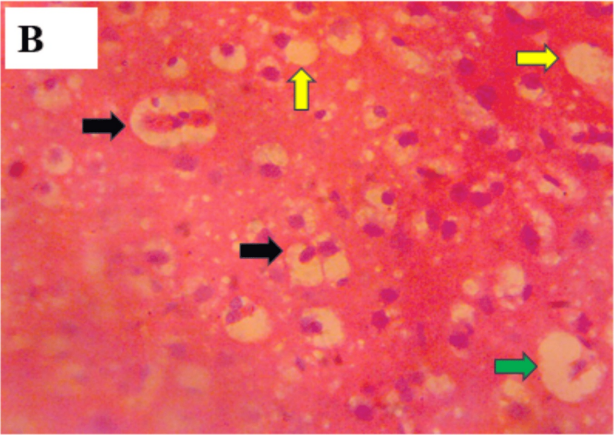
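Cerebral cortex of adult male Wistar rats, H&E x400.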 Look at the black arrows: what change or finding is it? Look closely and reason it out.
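Within clear halos the purple nuclear material lies broken into several small pieces.
Answer: karyorrhexis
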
